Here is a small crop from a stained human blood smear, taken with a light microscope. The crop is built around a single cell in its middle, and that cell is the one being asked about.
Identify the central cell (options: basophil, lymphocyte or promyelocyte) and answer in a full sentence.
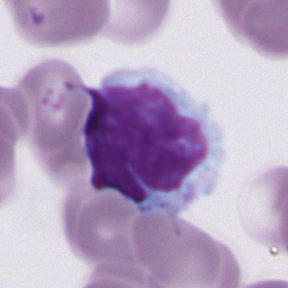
In the centre of this crop there is a lymphocyte.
